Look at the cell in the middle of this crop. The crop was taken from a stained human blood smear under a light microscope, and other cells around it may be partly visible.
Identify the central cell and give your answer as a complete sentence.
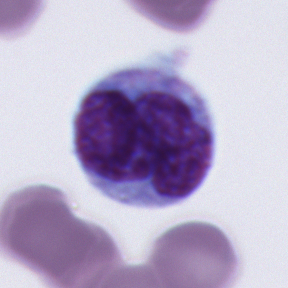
For this crop, the central cell is a monocyte.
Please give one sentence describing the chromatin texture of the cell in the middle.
Chromatin in the nucleus here is coarsely clumped.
